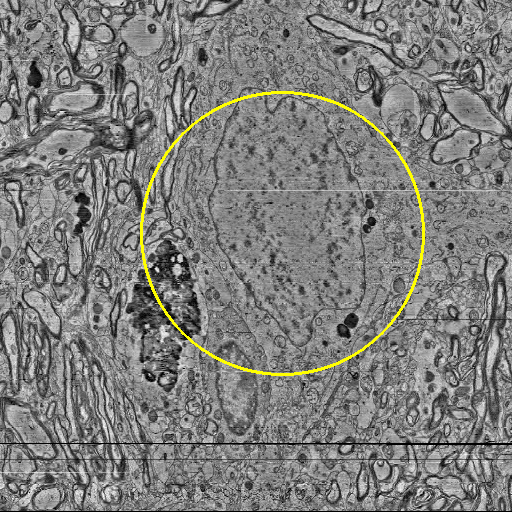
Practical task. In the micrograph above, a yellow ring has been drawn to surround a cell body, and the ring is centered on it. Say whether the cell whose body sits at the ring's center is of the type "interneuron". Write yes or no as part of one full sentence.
No, the cell at the center of the ring above is of another type.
